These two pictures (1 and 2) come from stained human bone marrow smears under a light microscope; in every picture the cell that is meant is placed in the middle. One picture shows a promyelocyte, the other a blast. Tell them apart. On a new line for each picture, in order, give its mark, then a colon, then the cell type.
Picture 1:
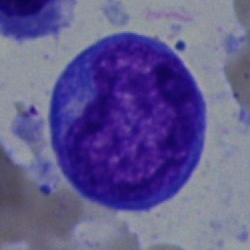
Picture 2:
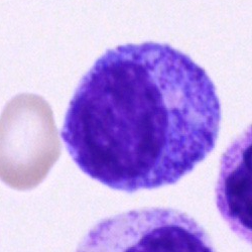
1: blast
2: promyelocyte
